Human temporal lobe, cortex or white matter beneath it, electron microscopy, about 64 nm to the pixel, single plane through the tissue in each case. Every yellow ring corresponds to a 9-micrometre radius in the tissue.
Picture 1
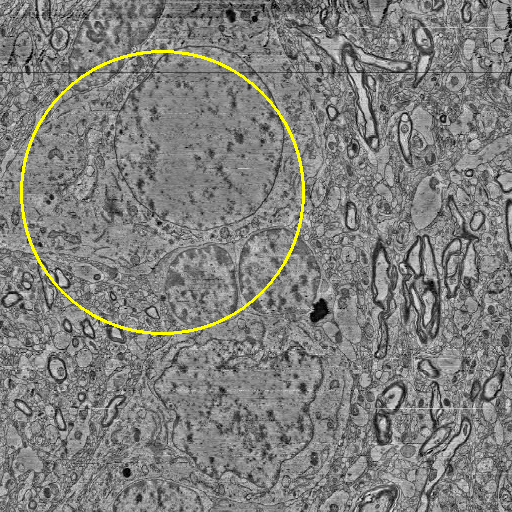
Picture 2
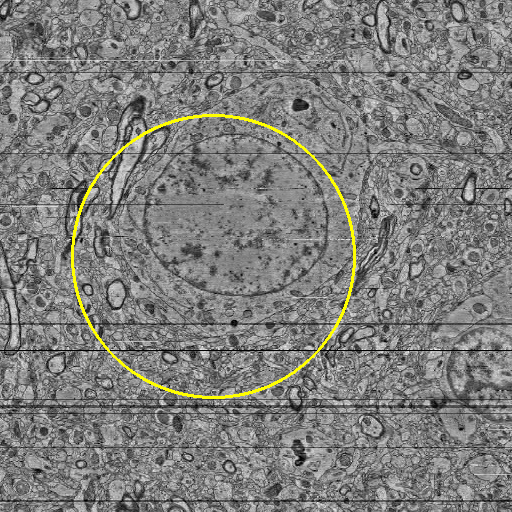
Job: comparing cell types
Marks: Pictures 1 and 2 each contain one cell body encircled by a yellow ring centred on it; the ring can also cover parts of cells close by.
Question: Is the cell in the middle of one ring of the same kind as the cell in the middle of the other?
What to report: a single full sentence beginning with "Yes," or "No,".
Yes, the cell at the ring centre in Picture 1 and its partner in Picture 2 are of one kind.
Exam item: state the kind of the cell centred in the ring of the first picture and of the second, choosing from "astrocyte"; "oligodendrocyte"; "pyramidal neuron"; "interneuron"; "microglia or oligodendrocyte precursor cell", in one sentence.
In each picture the ringed cell is a pyramidal neuron.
